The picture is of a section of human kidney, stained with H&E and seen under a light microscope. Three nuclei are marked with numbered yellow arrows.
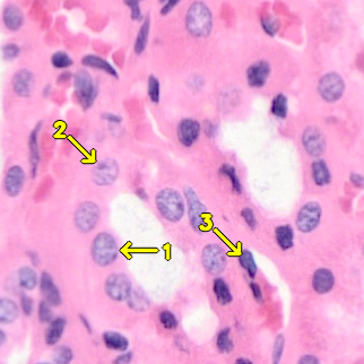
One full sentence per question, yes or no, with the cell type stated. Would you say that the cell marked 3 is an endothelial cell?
Yes, the cell identified as number 3 is an endothelial cell.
